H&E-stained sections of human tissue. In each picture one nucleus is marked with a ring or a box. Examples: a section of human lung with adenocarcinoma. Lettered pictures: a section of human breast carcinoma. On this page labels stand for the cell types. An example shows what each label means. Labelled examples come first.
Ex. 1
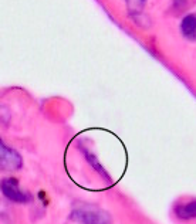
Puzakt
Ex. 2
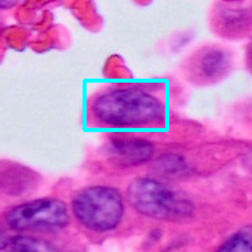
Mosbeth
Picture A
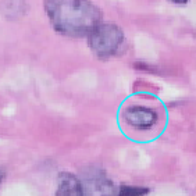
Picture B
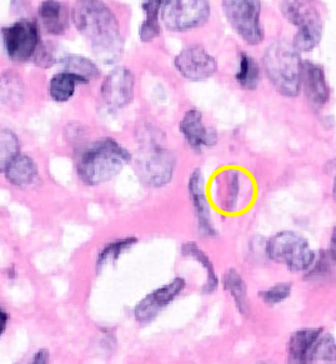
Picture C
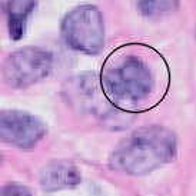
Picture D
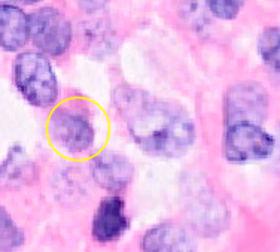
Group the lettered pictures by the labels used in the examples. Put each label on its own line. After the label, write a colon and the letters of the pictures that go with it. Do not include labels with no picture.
Puzakt: A, B
Mosbeth: C, D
